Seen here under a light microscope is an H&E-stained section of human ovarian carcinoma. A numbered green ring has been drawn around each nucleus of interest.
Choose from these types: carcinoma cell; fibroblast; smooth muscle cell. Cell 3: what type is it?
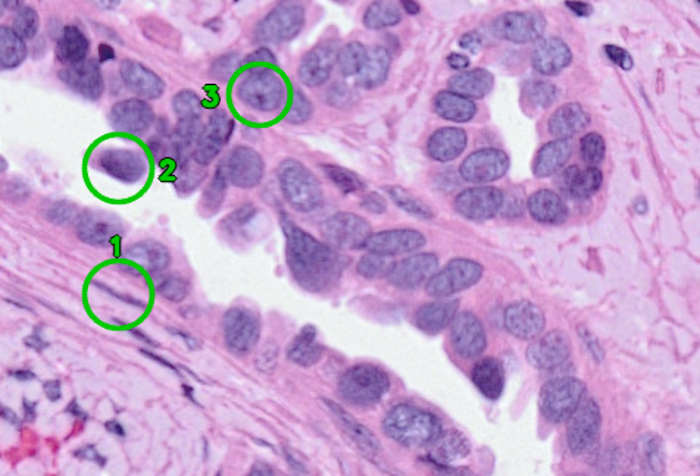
carcinoma cell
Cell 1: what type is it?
fibroblast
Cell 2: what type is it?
carcinoma cell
